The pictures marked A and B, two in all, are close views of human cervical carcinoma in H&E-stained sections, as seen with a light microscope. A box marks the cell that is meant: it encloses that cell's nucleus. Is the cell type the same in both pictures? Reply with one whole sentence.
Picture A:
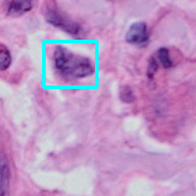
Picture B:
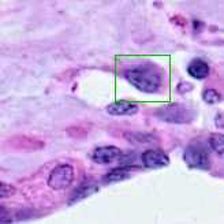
Yes, both cells are “macrophages or monocytes”.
